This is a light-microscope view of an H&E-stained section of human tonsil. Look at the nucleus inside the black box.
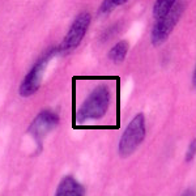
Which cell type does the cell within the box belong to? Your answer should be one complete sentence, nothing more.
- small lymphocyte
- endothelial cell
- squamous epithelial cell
Just put down that the cell within the box is a squamous epithelial cell.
